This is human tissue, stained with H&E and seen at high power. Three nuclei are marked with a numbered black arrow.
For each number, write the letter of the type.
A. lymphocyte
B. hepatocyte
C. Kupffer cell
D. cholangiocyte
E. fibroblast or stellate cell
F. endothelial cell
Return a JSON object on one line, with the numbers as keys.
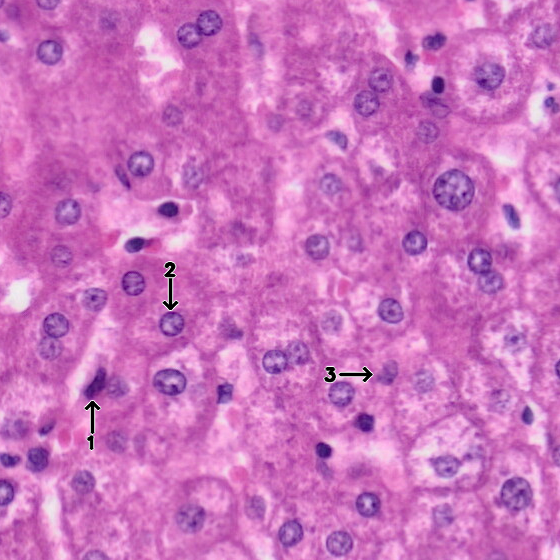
{"1": "C", "2": "B", "3": "F"}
